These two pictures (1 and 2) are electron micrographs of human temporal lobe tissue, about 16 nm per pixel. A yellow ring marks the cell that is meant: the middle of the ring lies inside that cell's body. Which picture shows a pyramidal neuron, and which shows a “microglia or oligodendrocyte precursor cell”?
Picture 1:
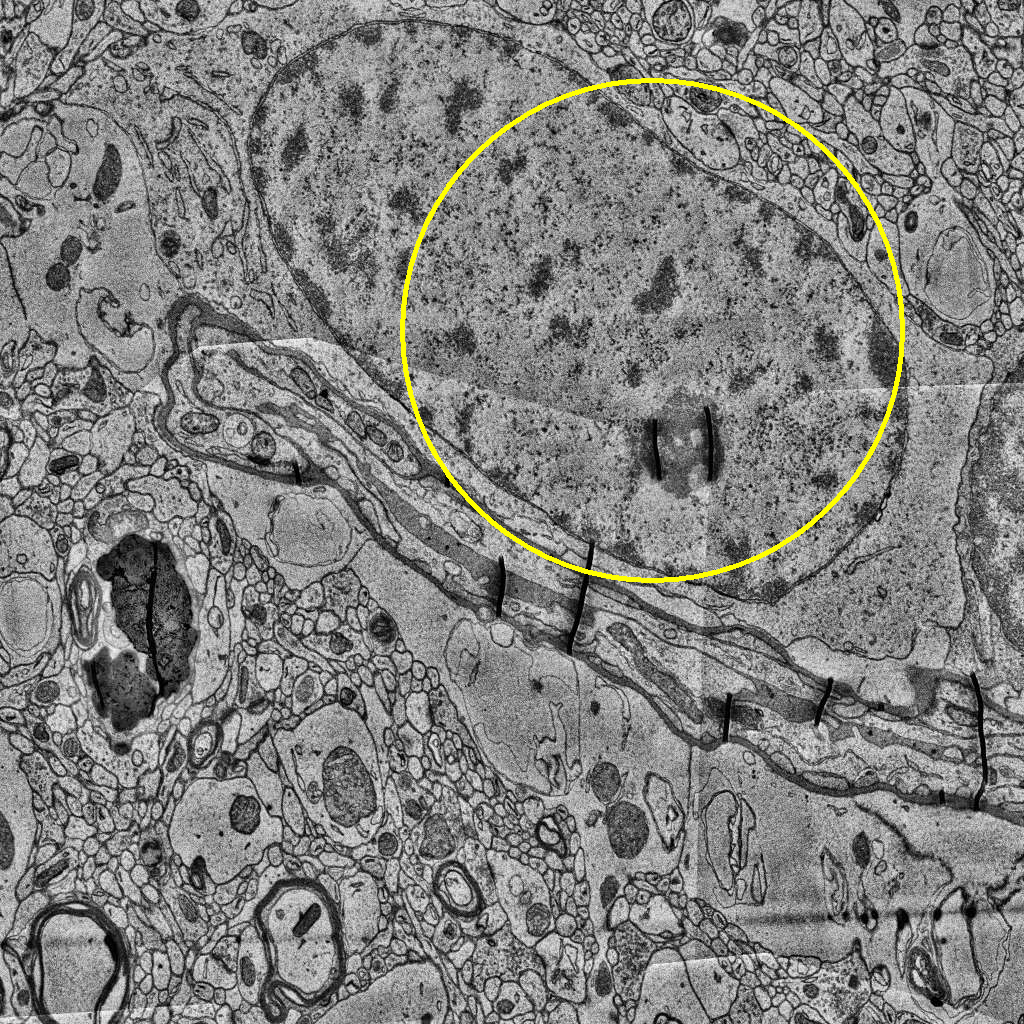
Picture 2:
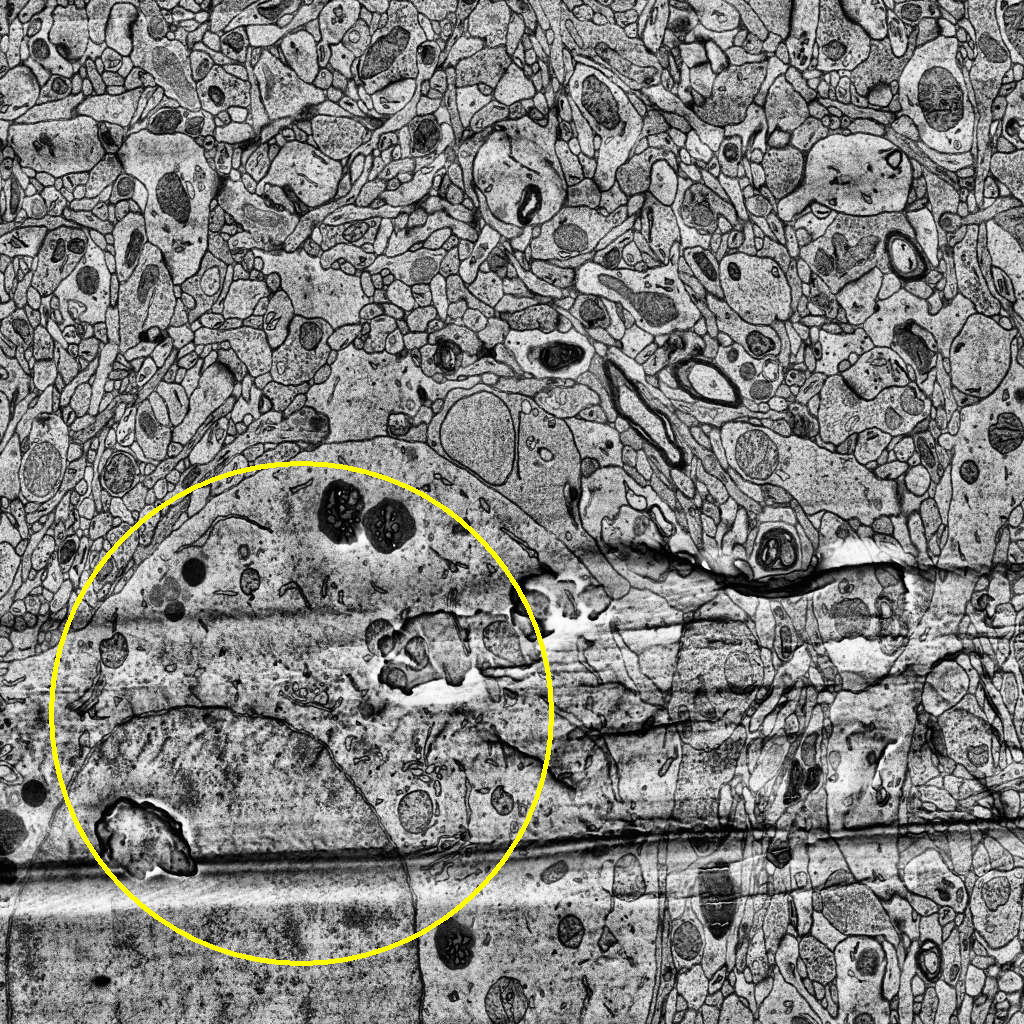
Picture 2 shows a pyramidal neuron, while picture 1 shows a “microglia or oligodendrocyte precursor cell”.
